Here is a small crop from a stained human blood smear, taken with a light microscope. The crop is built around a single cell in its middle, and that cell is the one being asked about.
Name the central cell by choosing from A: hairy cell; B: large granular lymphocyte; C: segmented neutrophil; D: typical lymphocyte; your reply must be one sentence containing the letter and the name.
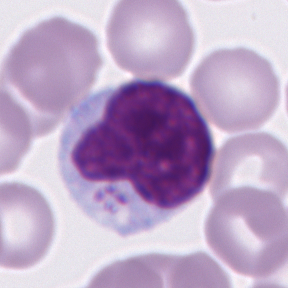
The middle cell of the crop is a large granular lymphocyte; accordingly, option B is correct.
